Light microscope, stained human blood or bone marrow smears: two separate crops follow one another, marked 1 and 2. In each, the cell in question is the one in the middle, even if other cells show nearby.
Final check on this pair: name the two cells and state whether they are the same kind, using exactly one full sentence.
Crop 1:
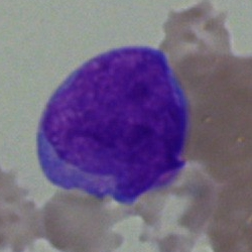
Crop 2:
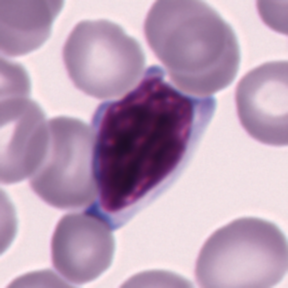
No, crop 1 corresponds to a blast, while crop 2 corresponds to a lymphocyte.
